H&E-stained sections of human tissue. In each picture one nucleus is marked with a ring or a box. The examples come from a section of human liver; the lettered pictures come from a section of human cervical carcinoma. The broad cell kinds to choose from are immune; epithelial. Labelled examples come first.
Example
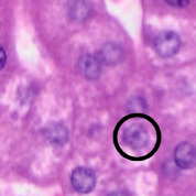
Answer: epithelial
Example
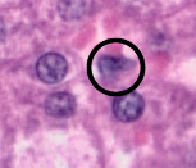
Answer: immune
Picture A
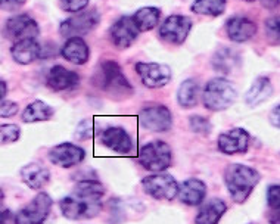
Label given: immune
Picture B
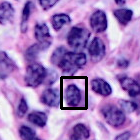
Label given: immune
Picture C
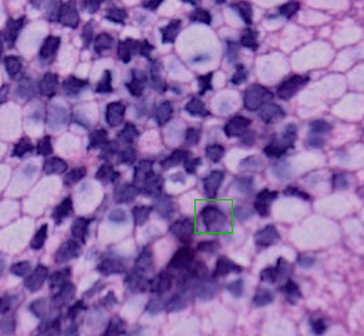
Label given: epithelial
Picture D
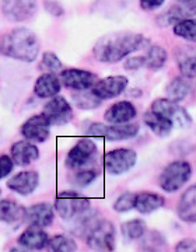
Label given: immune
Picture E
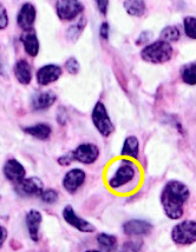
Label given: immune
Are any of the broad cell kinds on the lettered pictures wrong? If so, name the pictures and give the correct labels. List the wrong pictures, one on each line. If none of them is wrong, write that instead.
None of the labels needs changing.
